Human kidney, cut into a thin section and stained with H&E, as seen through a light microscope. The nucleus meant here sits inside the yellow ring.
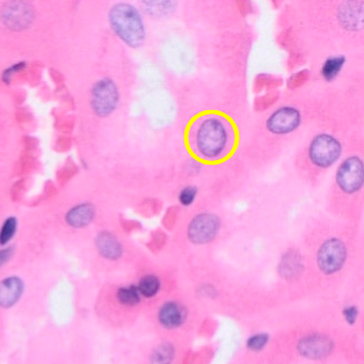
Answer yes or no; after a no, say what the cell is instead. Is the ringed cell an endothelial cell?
No, it is a proximal tubule cell.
